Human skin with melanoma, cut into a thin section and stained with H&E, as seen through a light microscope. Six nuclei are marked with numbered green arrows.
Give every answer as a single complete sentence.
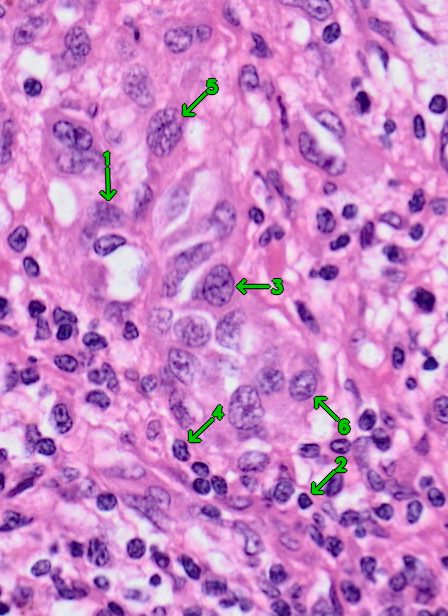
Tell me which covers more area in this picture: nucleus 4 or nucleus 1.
Number 1 is larger; its area is about 2 times that of number 4.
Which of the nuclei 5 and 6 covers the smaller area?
Nucleus 6 is the smaller one; nucleus 5 covers about 2 times its area.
